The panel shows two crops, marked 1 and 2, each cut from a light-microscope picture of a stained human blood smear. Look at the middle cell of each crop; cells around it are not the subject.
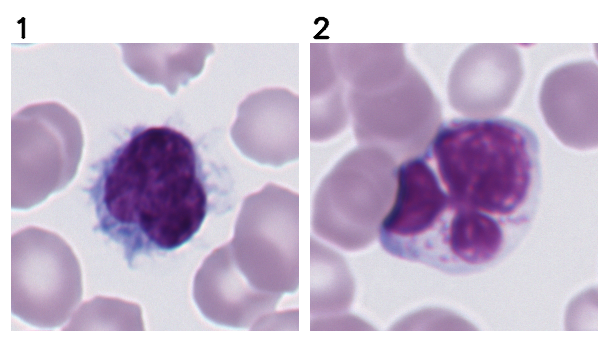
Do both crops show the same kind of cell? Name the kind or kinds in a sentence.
No, sorry, crop 1 shows a hairy cell and crop 2 shows a large granular lymphocyte.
